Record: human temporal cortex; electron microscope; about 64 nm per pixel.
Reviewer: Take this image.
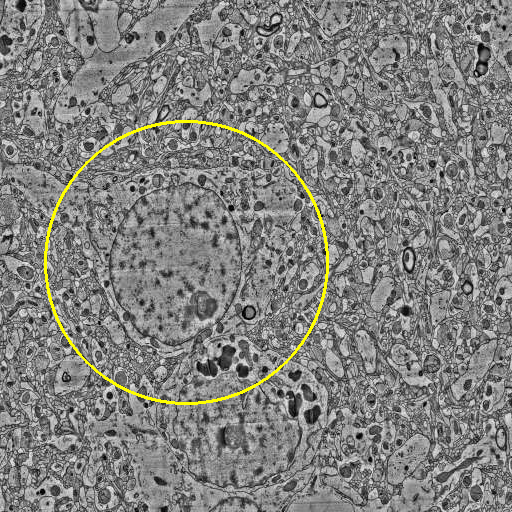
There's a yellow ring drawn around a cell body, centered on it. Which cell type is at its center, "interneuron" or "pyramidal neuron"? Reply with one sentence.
At the center of the yellow ring is a pyramidal neuron.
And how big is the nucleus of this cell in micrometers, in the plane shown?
In this plane the nucleus is about 10 micrometres by 9.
